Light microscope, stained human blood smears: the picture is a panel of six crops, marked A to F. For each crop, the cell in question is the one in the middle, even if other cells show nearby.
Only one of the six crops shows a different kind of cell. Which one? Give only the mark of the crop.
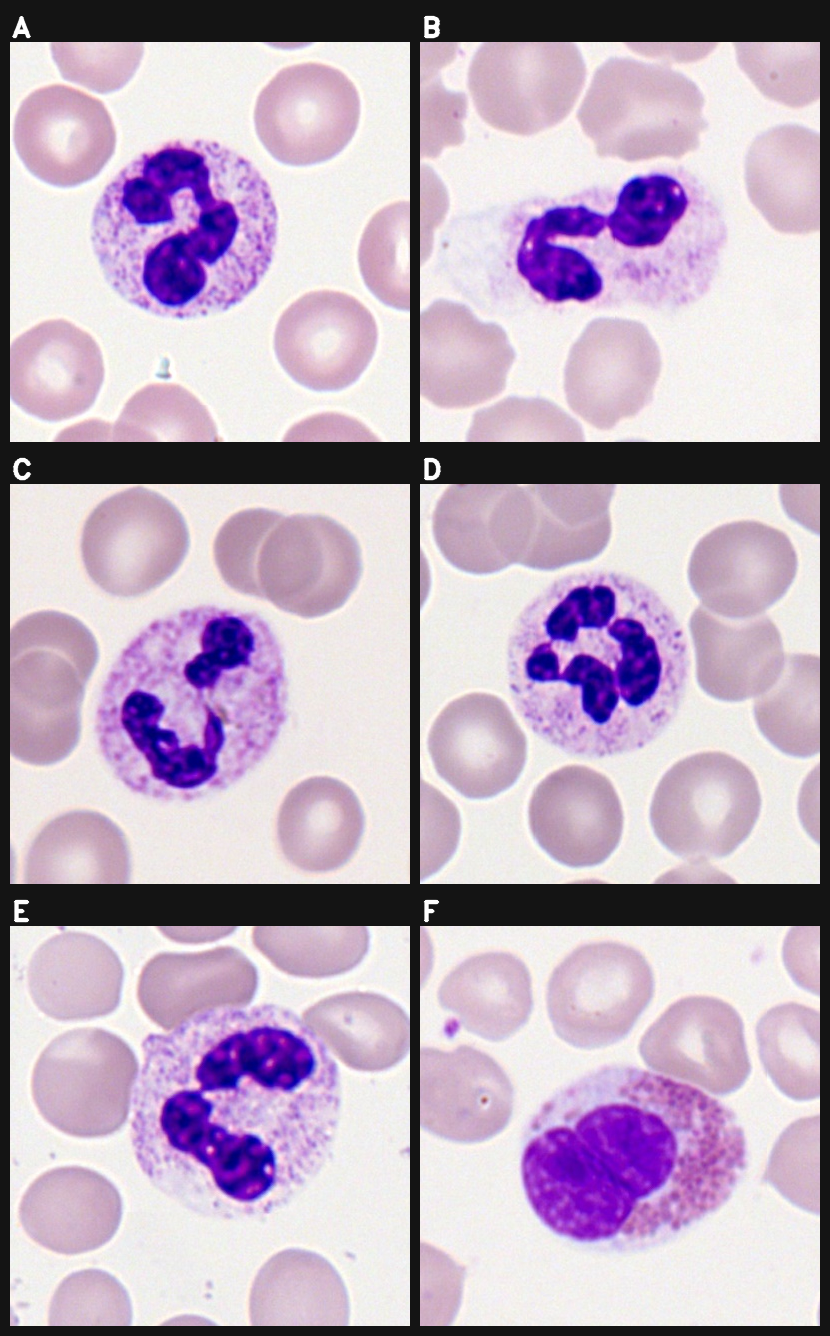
F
